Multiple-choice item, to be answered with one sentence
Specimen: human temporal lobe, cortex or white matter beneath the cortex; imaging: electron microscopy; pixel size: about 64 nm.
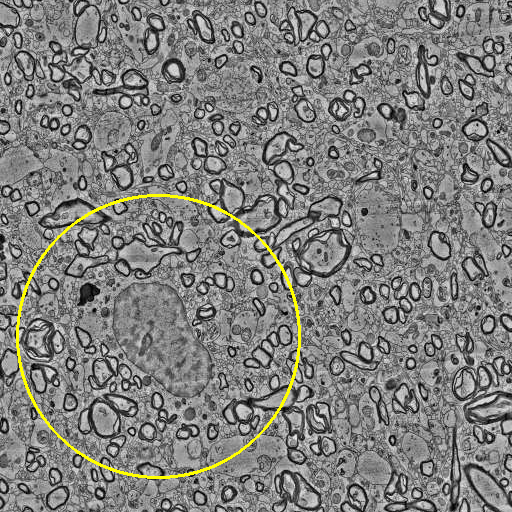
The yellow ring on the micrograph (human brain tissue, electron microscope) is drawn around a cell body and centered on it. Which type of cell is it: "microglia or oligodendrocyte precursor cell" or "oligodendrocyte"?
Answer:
The ring is centered on an oligodendrocyte.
